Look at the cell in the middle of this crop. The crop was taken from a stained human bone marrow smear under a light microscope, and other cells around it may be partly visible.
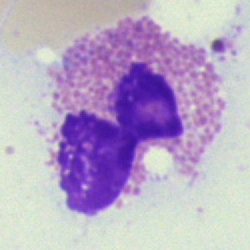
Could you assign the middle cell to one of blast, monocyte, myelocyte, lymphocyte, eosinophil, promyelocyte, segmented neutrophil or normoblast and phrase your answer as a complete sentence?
In the middle of this smear crop is an eosinophil.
